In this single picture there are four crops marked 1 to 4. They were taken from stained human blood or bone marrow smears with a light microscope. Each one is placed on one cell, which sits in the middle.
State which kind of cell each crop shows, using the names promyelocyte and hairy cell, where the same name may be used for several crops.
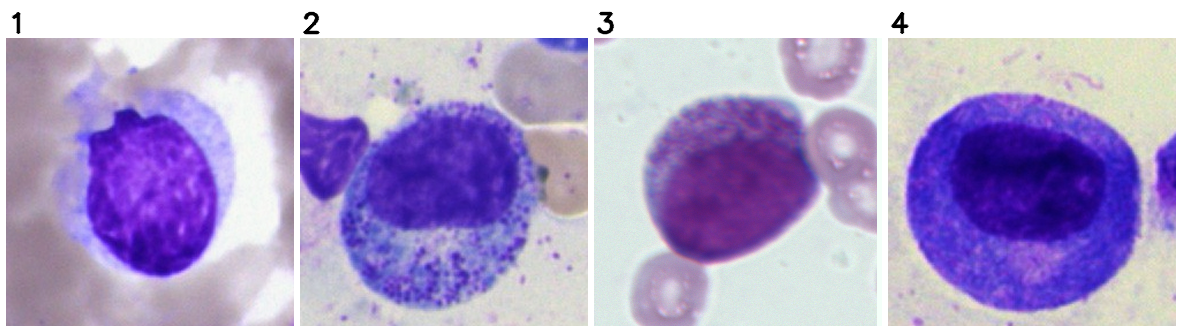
1: hairy cell
2: promyelocyte
3: promyelocyte
4: promyelocyte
